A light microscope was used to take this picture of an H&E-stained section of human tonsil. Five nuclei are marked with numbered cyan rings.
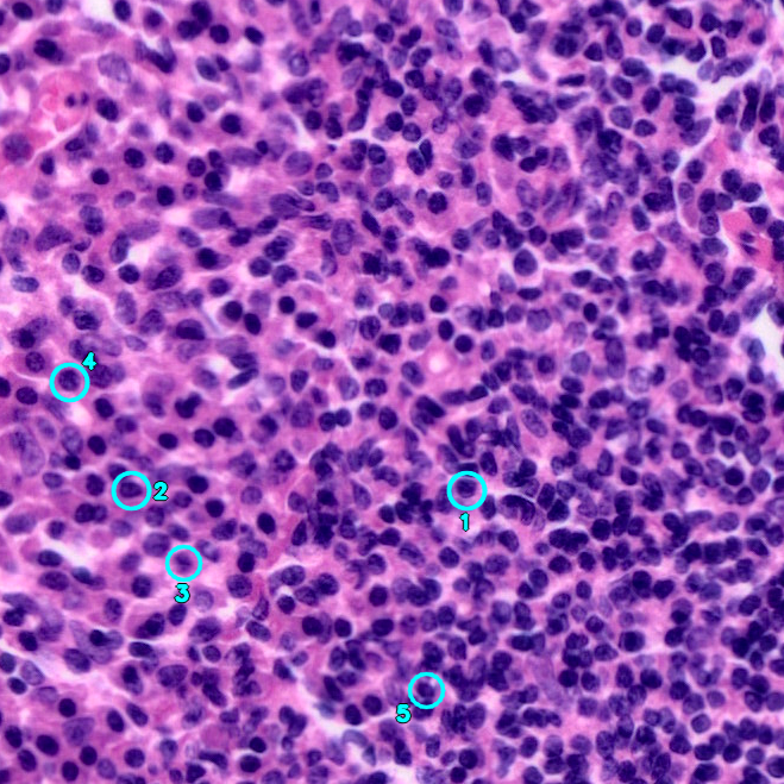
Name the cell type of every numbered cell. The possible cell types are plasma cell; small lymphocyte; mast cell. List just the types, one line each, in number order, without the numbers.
small lymphocyte
plasma cell
plasma cell
plasma cell
small lymphocyte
